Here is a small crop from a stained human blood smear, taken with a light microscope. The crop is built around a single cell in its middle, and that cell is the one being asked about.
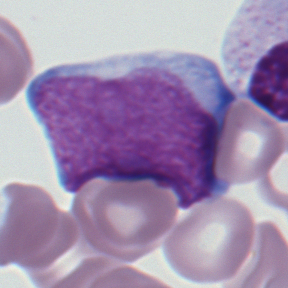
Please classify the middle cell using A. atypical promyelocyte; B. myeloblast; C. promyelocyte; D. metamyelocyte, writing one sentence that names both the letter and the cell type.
The cell in the middle is a myeloblast, and that makes option B correct.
